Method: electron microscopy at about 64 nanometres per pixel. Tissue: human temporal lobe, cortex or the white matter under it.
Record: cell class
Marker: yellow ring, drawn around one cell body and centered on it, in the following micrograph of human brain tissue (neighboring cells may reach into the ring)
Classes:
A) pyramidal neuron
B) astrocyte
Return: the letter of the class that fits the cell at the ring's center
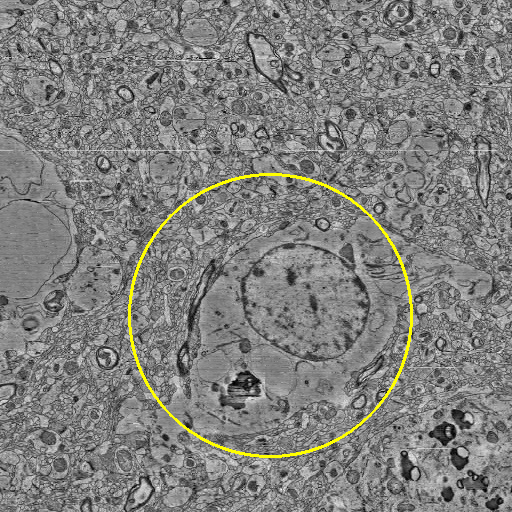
B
